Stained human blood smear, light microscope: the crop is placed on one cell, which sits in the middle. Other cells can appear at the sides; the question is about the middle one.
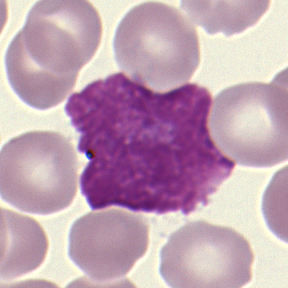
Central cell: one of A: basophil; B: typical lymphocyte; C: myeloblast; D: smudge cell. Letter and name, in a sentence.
Option D stands as correct, the central cell being a smudge cell.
